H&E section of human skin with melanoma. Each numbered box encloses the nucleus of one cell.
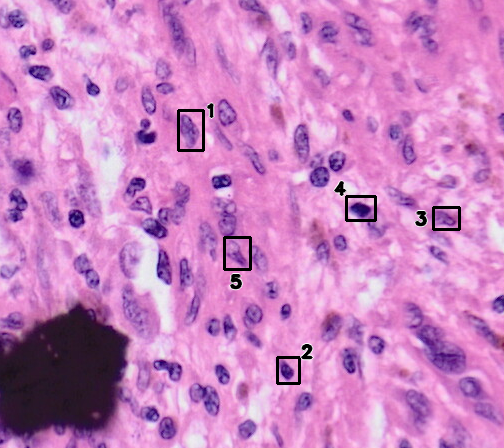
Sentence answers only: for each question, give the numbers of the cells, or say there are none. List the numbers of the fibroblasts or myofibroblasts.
The numbered cells include no fibroblasts or myofibroblasts at all.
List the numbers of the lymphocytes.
Cell number 2 alone is a lymphocyte; the rest are not.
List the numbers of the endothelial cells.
The nucleus numbered 5 is the only one that belongs to an endothelial cell.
